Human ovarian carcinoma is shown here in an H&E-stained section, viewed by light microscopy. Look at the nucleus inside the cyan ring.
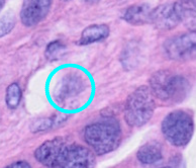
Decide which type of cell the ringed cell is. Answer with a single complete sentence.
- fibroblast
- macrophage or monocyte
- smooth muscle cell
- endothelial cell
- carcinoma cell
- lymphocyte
In cell-type terms, the ringed cell is a fibroblast.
